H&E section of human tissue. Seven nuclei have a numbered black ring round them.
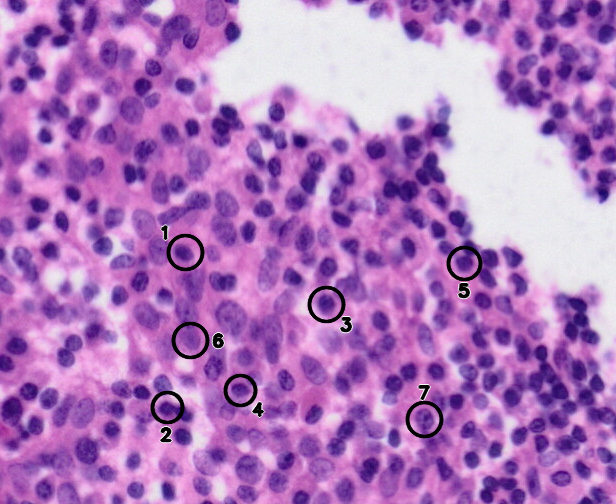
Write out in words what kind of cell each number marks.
Cell 1 is a squamous epithelial cell, cell 2 is a plasma cell, cell 3 is a plasma cell, cell 4 is a plasma cell, cell 5 is a small lymphocyte, cell 6 is a squamous epithelial cell and cell 7 is a plasma cell.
